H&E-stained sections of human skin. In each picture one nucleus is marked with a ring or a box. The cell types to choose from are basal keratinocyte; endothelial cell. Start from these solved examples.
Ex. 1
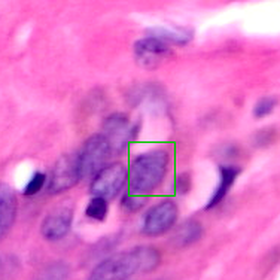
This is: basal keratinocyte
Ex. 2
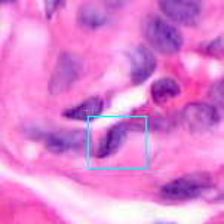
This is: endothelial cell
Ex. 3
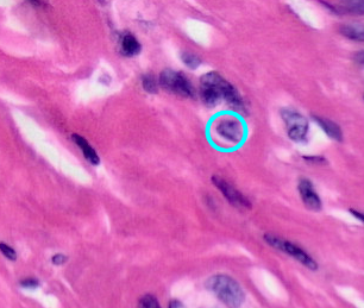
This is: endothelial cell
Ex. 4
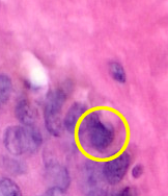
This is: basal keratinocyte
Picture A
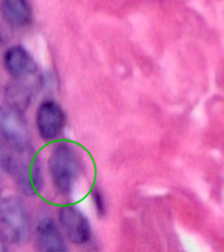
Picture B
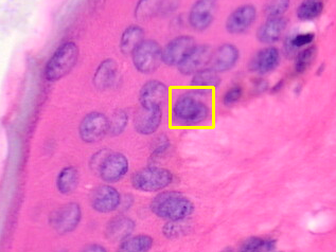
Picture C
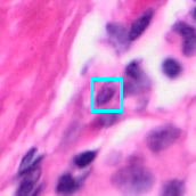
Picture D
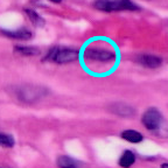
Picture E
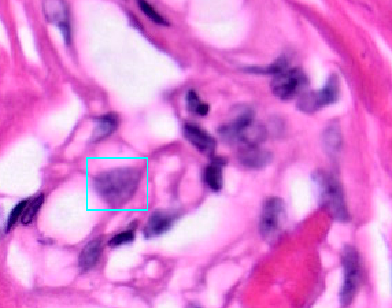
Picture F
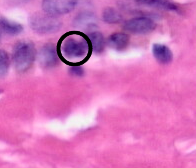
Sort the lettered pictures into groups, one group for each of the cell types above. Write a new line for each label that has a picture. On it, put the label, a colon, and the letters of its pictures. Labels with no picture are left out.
basal keratinocyte: A, B, F
endothelial cell: C, D, E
